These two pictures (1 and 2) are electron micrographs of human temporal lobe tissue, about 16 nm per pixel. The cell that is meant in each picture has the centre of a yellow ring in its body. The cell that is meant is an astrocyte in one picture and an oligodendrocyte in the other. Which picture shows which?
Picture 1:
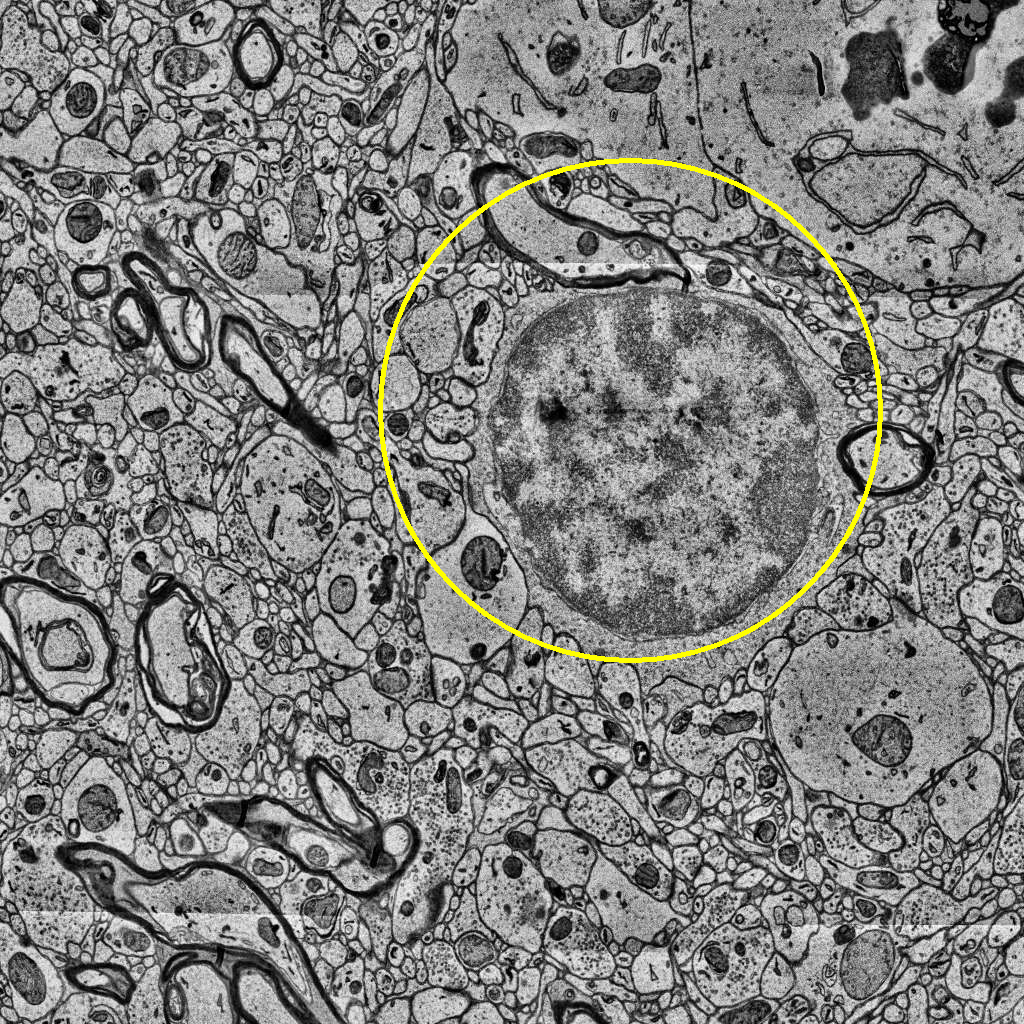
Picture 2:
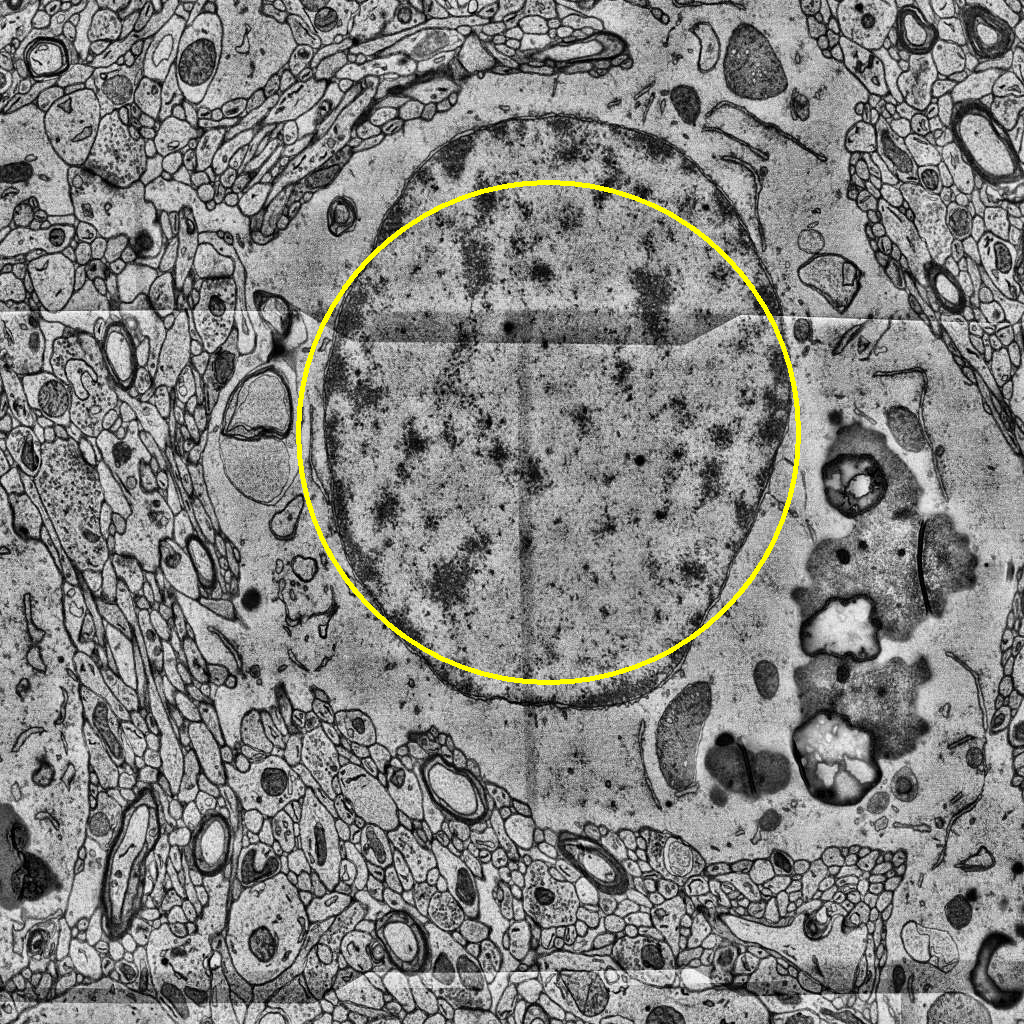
In picture 1 the cell is an oligodendrocyte; in picture 2, an astrocyte.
